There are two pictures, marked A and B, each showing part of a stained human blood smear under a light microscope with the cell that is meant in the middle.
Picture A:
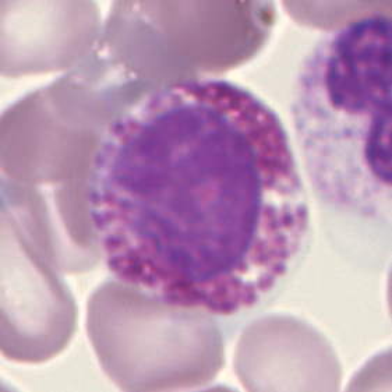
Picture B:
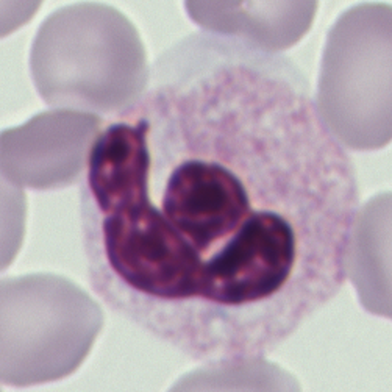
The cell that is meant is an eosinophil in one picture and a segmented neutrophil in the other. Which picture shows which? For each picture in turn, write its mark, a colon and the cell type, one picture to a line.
A: eosinophil
B: segmented neutrophil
